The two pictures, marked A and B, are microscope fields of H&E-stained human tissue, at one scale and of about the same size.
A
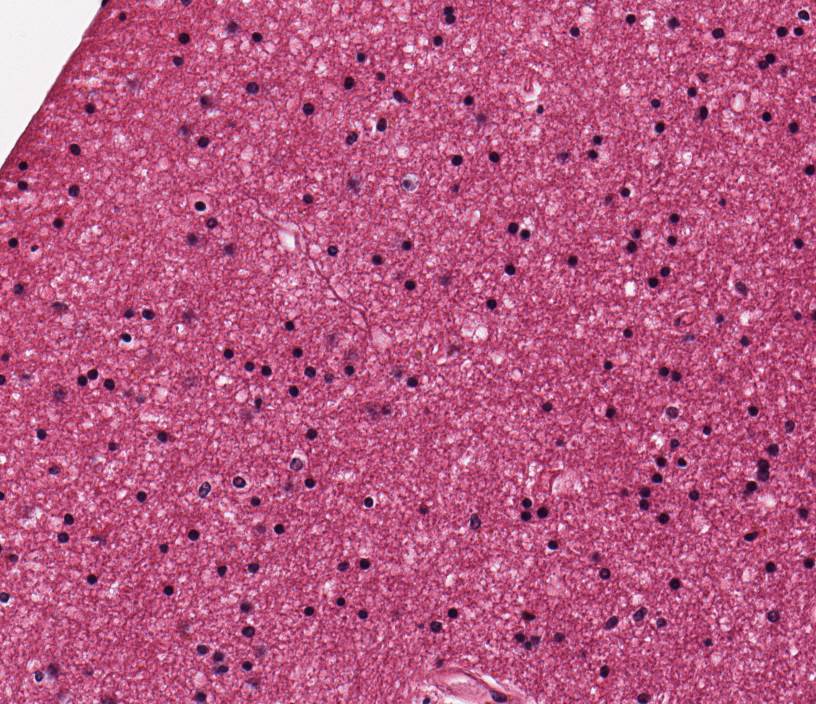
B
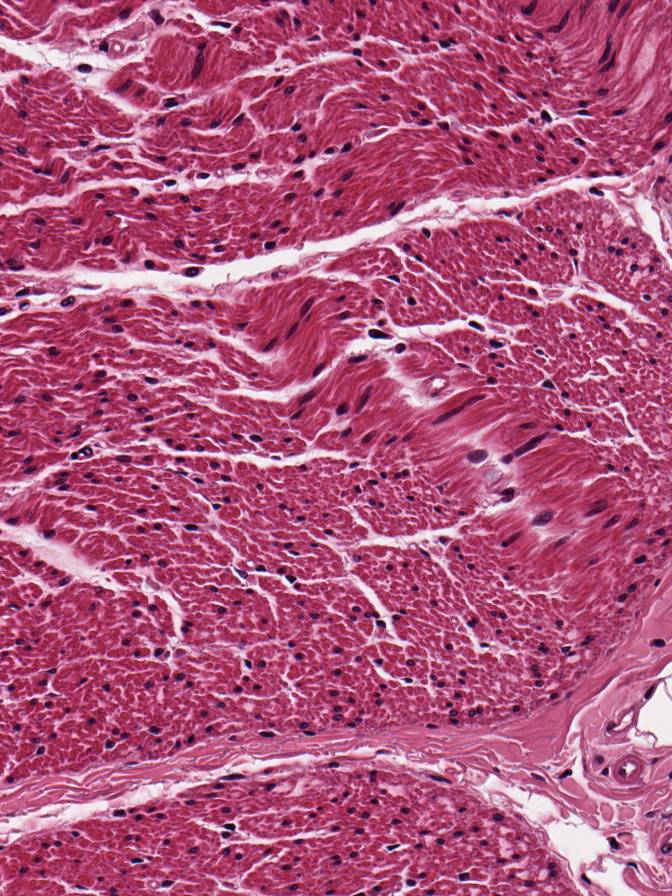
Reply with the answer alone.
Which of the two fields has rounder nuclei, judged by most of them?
A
